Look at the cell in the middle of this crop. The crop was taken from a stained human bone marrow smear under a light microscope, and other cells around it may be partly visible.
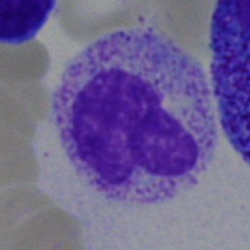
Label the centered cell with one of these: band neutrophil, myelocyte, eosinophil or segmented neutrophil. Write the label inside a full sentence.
The cell positioned in the middle of the field is a band neutrophil.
